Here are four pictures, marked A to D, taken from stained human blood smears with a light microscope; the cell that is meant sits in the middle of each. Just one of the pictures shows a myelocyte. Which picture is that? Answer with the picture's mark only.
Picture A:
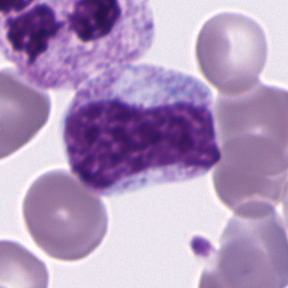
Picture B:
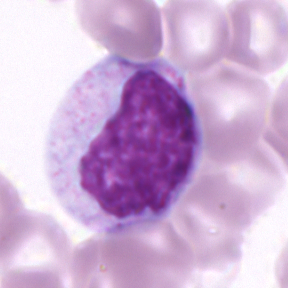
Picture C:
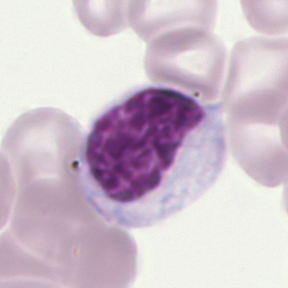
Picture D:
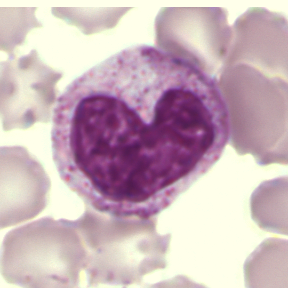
B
